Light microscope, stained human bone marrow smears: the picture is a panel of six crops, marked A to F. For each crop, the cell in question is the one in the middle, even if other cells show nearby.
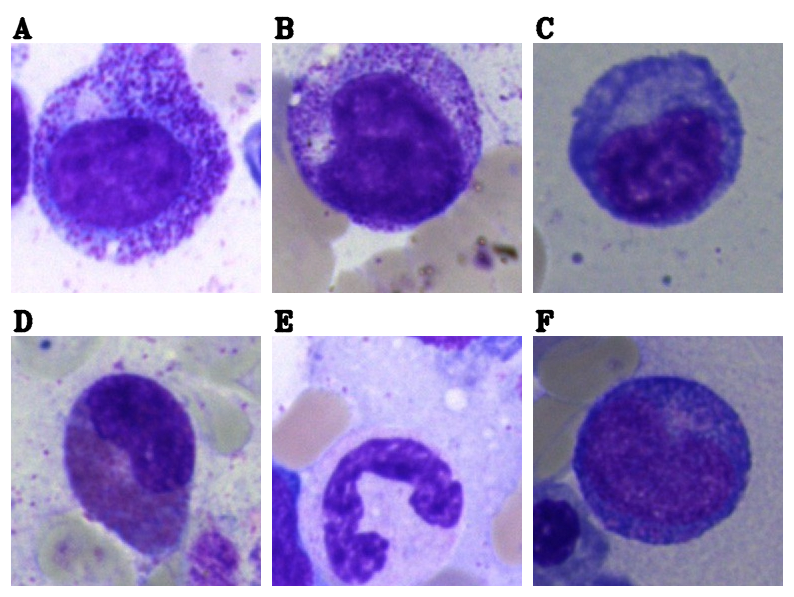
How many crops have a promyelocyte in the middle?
4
